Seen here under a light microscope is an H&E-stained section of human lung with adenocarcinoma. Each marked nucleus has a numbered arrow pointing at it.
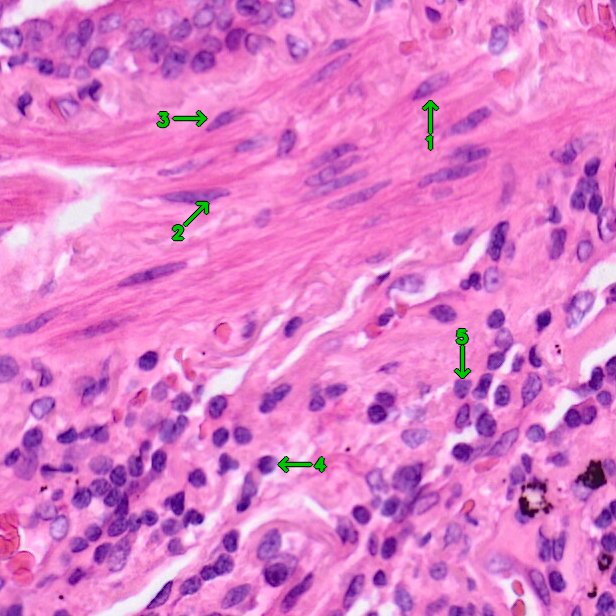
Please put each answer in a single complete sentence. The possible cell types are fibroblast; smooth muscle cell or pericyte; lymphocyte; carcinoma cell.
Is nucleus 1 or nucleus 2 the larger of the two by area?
Nucleus 1 is the larger one, covering about 2 times the area of nucleus 2.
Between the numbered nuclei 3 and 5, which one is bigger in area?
It is nucleus 3, which covers about 1.5 times the area of nucleus 5.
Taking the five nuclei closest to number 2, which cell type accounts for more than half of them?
Of the five nuclei nearest to number 2, most belong to smooth muscle cells or pericytes.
